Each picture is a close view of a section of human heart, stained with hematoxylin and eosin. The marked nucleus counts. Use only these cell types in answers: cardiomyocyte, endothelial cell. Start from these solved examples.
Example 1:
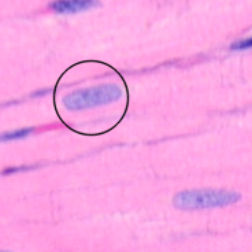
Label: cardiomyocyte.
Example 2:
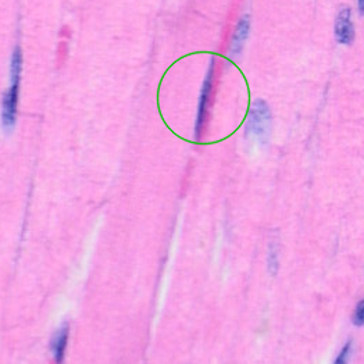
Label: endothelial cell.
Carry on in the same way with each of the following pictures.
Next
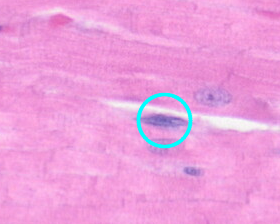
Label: endothelial cell.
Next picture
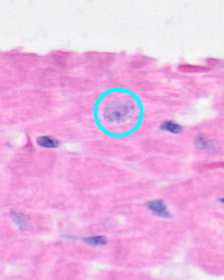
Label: cardiomyocyte.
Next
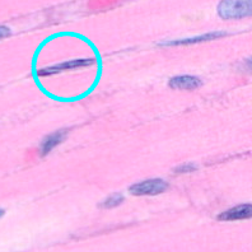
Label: endothelial cell.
